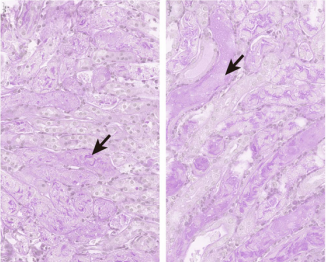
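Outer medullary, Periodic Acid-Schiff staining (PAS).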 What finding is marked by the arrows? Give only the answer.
tubular injury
